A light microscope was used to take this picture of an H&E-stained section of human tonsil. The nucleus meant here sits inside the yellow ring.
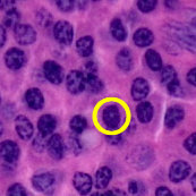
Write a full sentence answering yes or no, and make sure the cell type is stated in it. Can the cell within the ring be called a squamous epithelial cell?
No, mate, the cell within the ring is a plasma cell rather than a squamous epithelial cell.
